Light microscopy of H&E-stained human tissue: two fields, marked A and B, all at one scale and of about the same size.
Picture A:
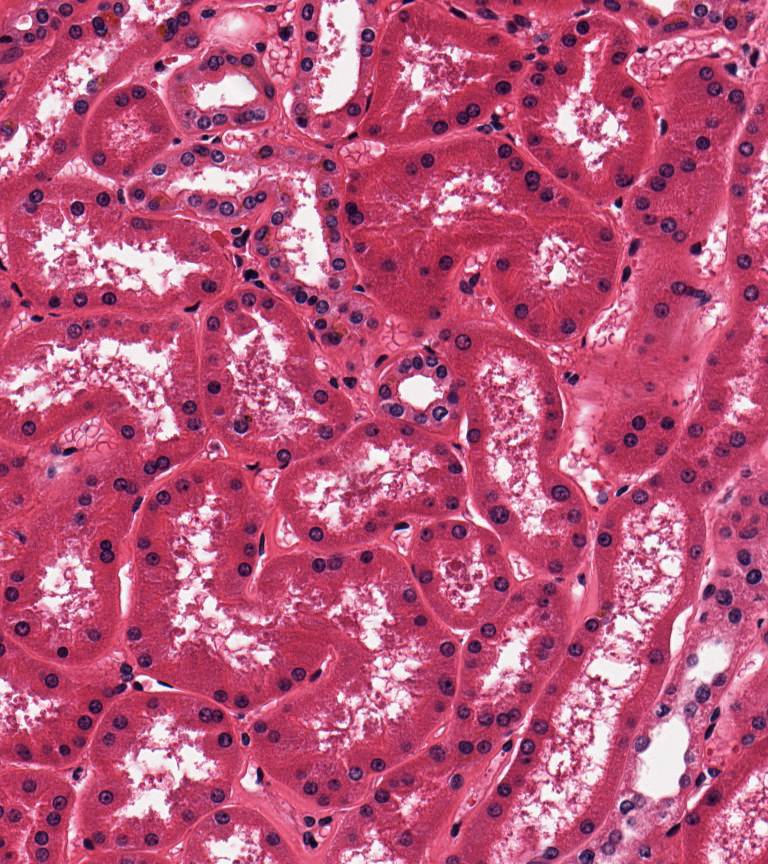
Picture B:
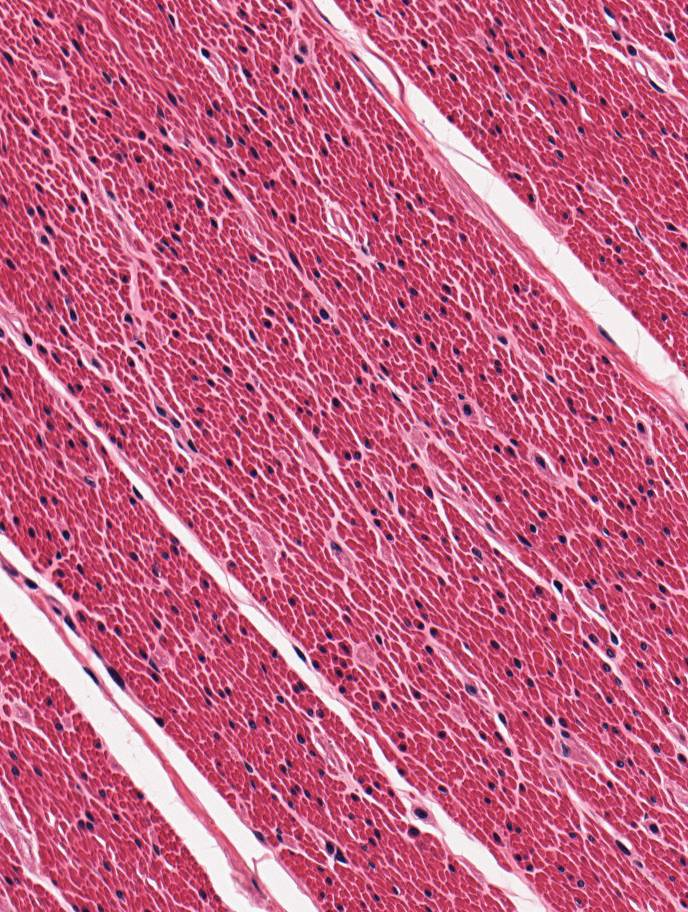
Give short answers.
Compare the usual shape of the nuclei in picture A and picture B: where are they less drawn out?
A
